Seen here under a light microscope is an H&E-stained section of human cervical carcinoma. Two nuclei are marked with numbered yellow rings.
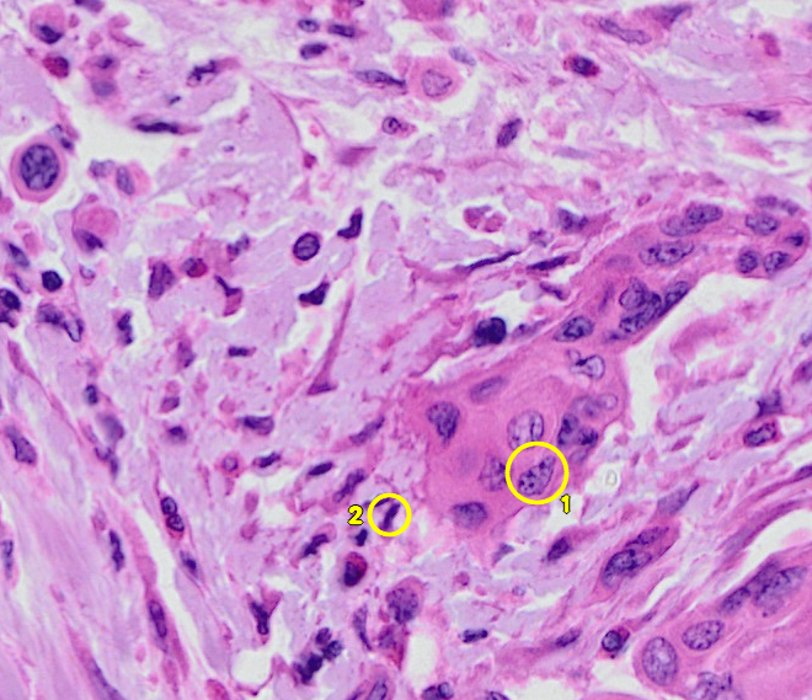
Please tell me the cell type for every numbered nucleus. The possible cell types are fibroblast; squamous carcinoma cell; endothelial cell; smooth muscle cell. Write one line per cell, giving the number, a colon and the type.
1: squamous carcinoma cell
2: fibroblast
